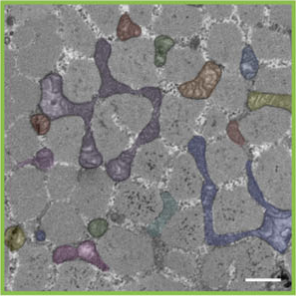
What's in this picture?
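Transverse section of a skeletal muscle fiber showing mitochondria between myofibrils. Myofibrils appear as rounded grey polygons of fine granular texture, separated by pale, irregular spaces. Mitochondria, each tinted a distinct colour, occupy these intermyofibrillar spaces. Many are small rounded or triangular profiles at junctions between myofibrils, while several are elongated and branched, extending along the clefts and curving around more than one myofibril, so that individual mitochondria form a connected, reticular pattern across the section. Scattered small dark granules lie in the spaces between myofibrils.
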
